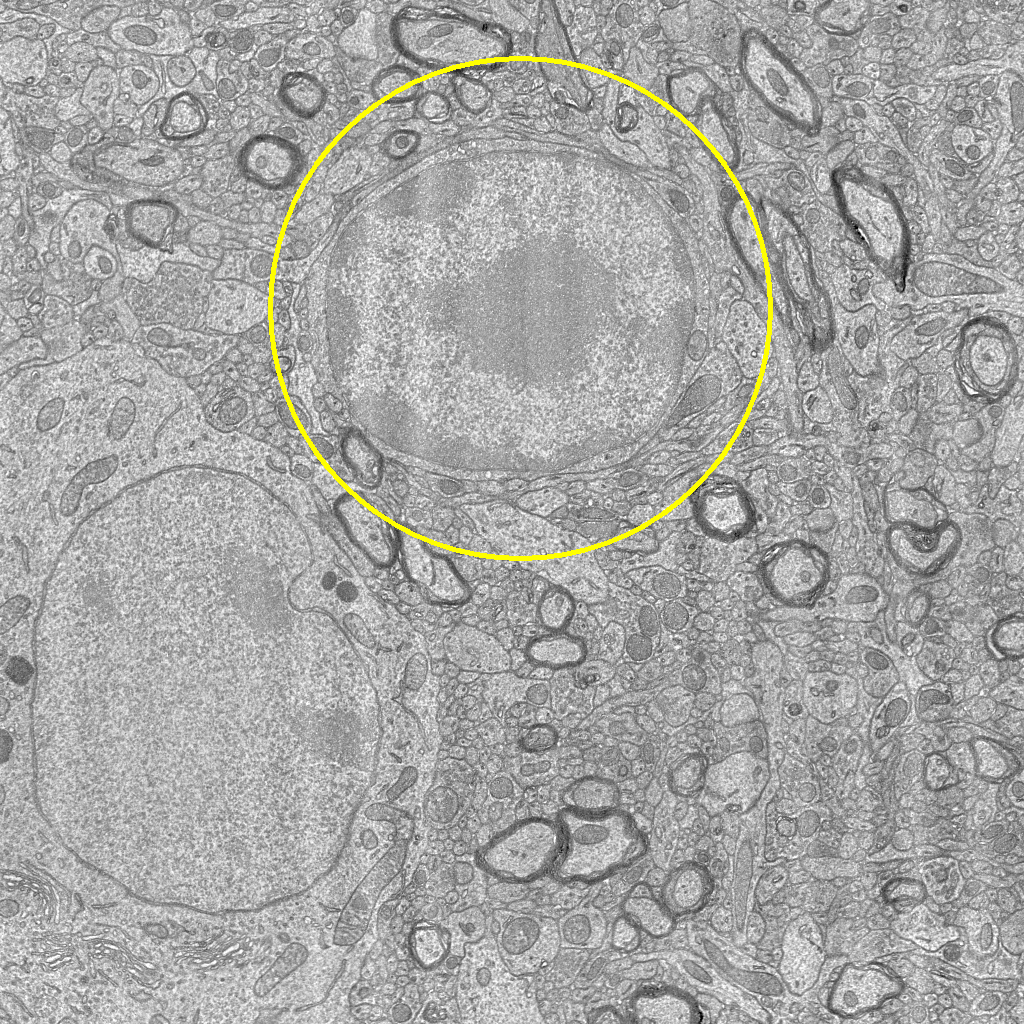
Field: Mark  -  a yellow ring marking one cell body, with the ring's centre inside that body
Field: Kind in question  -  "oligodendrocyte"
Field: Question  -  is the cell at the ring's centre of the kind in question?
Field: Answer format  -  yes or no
yes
